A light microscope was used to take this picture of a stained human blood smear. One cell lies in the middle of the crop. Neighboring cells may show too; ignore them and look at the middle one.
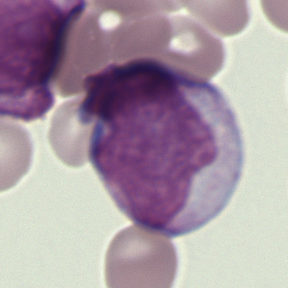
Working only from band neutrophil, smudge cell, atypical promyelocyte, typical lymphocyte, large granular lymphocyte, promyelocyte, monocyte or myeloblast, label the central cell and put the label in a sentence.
Answering briefly, the cell in the middle is an atypical promyelocyte.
